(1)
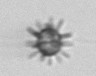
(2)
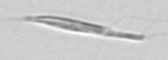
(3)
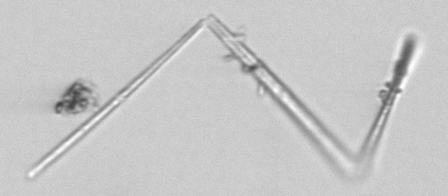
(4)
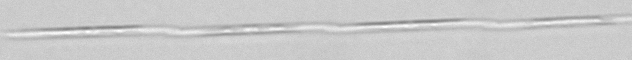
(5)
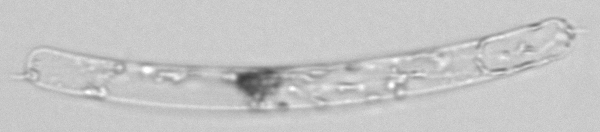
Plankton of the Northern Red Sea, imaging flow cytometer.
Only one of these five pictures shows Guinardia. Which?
Picture 5.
